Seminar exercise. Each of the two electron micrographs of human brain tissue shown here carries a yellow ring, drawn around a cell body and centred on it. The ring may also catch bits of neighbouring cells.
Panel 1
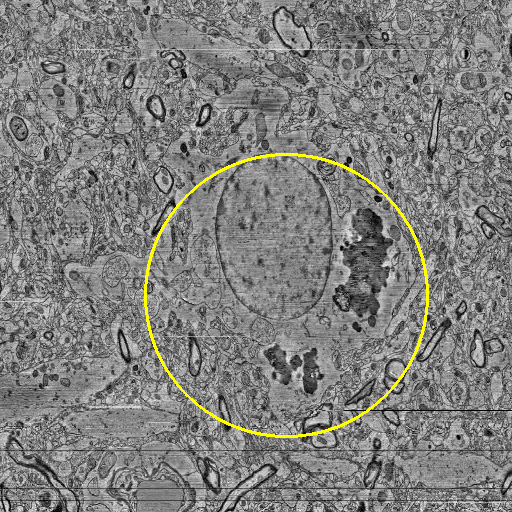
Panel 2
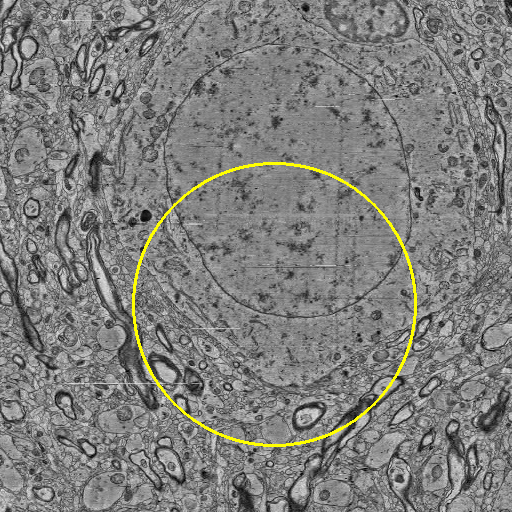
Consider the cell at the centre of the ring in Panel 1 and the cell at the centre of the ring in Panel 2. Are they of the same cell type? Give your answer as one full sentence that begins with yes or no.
No, the two cells are of two types.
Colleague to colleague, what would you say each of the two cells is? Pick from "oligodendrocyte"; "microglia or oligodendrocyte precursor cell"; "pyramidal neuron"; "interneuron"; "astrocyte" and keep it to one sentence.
The cell in the first picture is an astrocyte; the second picture's cell is a pyramidal neuron.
